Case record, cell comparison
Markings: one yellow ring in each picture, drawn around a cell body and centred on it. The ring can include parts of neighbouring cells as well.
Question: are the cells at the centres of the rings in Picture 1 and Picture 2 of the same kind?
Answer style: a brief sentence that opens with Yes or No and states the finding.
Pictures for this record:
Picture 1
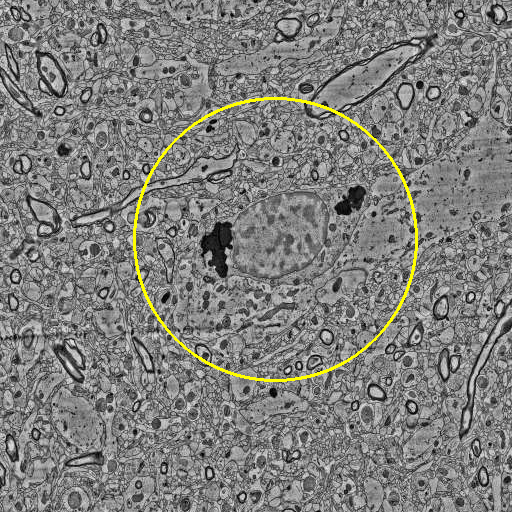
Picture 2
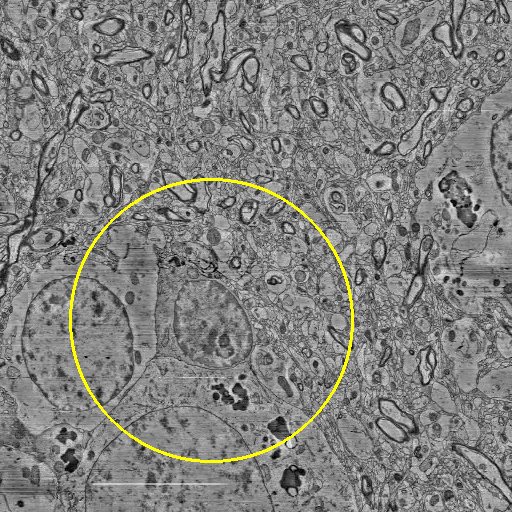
Yes, the cells in Picture 1 and Picture 2 are of the same kind.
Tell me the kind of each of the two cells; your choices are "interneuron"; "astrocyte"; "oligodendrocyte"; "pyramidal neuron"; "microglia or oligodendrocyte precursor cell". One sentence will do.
Both pictures show an oligodendrocyte at the centre of the ring.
